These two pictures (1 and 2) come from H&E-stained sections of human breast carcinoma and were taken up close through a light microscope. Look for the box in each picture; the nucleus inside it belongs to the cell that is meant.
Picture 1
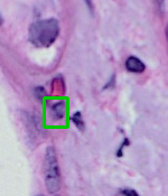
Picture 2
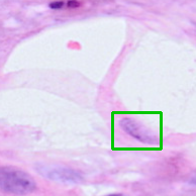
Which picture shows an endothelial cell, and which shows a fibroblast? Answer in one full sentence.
Picture 1 shows an endothelial cell and picture 2 shows a fibroblast.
